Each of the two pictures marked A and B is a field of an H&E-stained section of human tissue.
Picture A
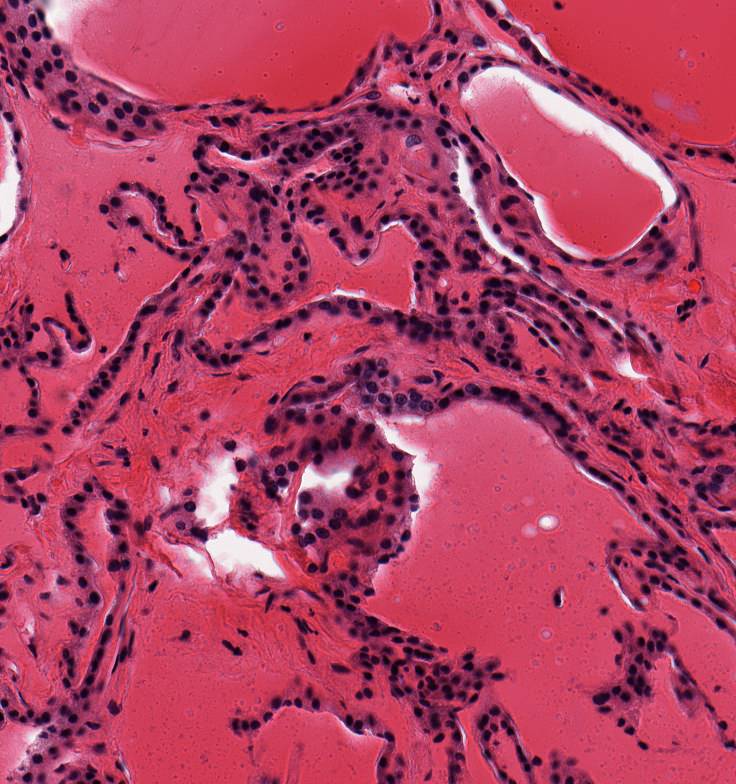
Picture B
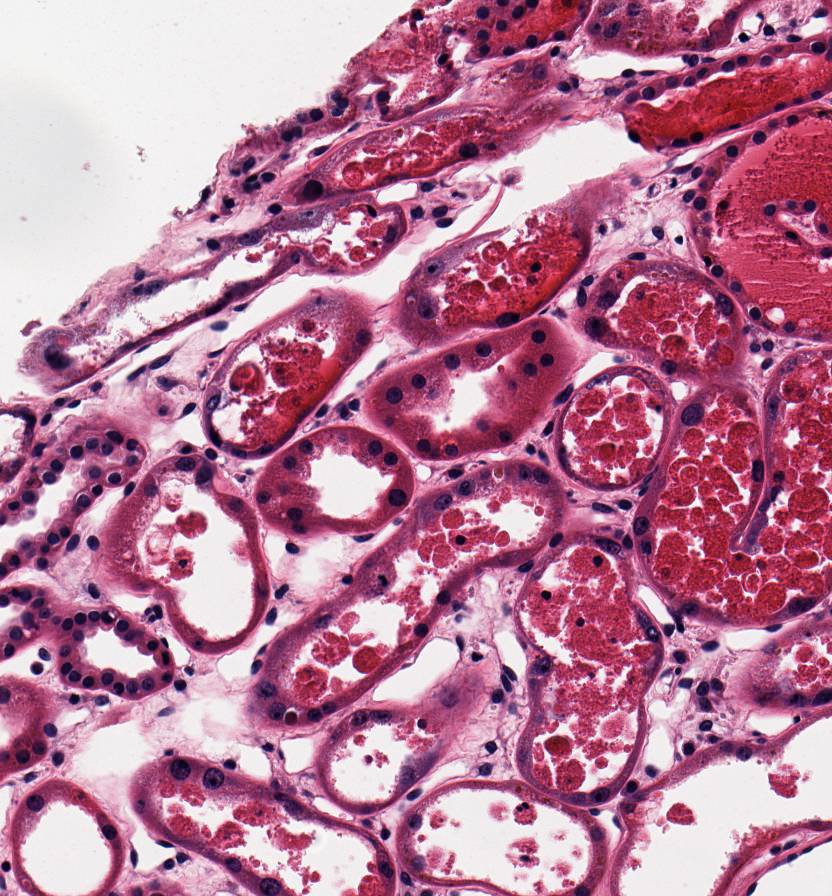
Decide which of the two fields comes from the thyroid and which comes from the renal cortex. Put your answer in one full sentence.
Picture B comes from the renal cortex, while picture A comes from the thyroid.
